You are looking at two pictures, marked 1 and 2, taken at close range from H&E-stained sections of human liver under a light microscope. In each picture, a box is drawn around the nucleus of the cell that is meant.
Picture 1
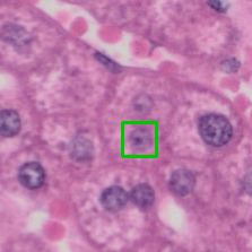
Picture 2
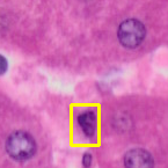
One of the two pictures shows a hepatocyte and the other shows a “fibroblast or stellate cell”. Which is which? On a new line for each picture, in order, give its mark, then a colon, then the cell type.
1: hepatocyte
2: fibroblast or stellate cell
